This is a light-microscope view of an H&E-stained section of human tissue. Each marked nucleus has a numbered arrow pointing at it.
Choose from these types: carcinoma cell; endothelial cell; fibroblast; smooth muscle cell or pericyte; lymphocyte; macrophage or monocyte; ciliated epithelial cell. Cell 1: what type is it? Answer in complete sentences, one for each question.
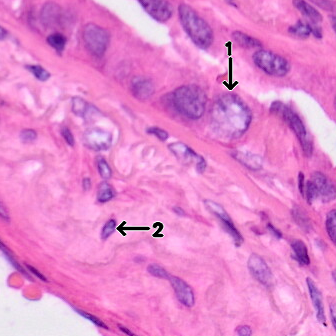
Identified by the number 1, the cell is a carcinoma cell.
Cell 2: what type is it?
The cell pointed out as number 2 is a smooth muscle cell or pericyte.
